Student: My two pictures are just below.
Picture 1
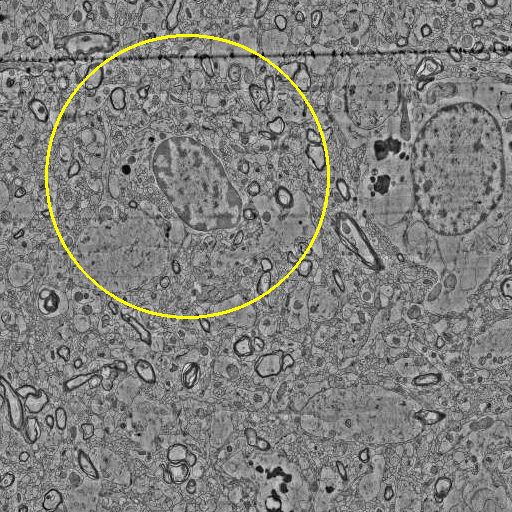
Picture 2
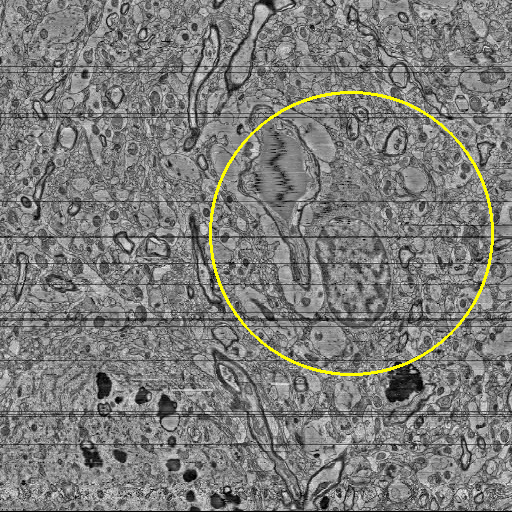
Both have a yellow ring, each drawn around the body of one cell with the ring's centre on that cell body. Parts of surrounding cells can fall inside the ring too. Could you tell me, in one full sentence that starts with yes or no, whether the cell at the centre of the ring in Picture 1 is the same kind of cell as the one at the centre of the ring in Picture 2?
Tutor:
No, the two cells are of two kinds.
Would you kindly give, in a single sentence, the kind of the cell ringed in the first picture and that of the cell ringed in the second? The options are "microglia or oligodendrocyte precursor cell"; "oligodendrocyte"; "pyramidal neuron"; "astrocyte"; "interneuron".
The second cell is an oligodendrocyte, and the first cell is a microglial cell or oligodendrocyte precursor cell.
